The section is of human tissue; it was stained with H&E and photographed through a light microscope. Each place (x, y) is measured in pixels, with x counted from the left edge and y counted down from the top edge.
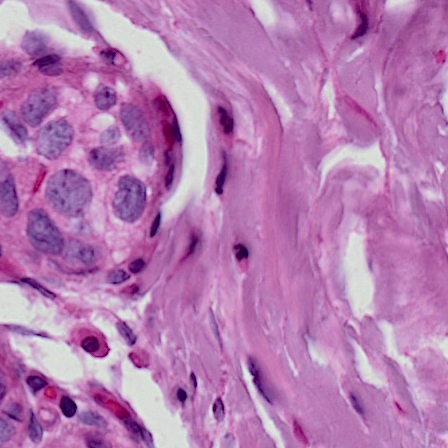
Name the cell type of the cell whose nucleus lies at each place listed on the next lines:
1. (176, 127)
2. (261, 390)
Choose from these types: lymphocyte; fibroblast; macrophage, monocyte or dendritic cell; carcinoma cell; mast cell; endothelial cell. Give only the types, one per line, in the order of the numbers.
endothelial cell
fibroblast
